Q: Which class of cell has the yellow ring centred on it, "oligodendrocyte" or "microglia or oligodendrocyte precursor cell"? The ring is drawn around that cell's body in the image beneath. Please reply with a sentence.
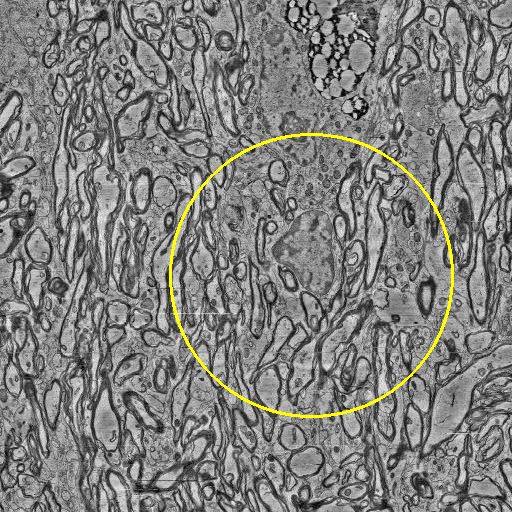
It is centred on a microglial cell or oligodendrocyte precursor cell.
